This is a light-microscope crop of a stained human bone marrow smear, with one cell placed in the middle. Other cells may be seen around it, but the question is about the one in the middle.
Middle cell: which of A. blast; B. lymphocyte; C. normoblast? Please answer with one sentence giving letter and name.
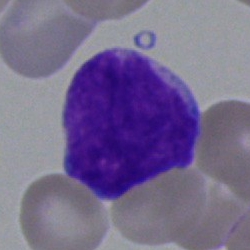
The cell in the middle is a blast, and so option A is correct.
